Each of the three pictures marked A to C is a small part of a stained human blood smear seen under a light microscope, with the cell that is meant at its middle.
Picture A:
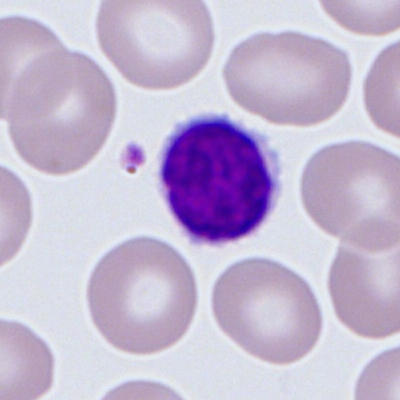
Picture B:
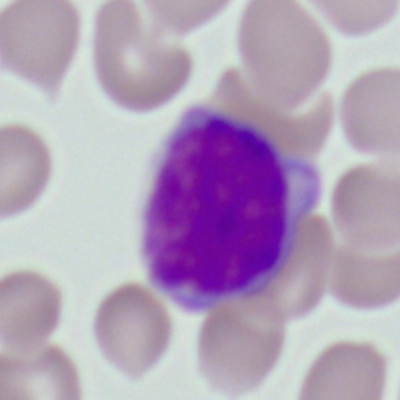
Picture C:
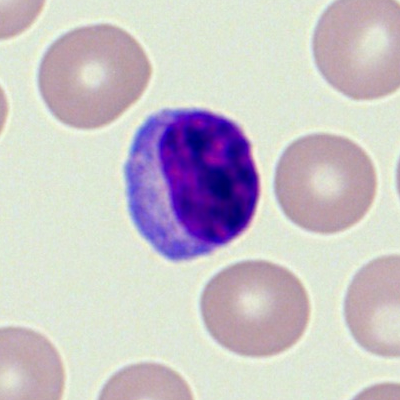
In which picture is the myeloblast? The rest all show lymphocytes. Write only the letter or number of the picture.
B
